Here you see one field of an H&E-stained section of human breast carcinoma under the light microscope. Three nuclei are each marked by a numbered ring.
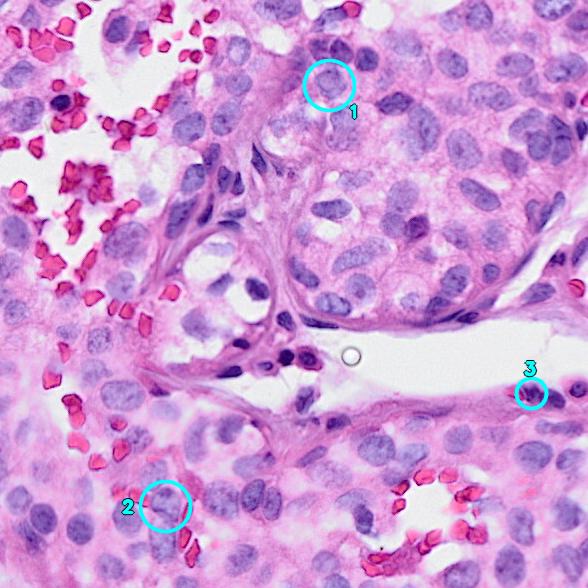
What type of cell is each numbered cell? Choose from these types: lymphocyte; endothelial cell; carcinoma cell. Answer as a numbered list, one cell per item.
1. carcinoma cell
2. carcinoma cell
3. endothelial cell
